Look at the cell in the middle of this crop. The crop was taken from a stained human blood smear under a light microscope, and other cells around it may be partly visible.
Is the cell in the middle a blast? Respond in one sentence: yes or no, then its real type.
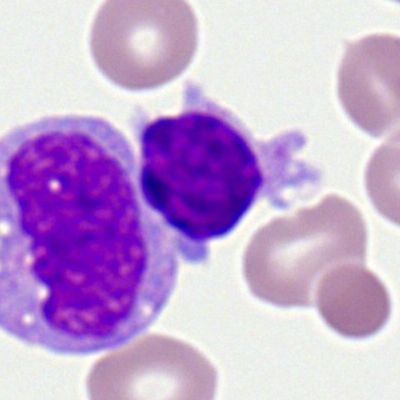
No, the cell at the centre is identified as a lymphocyte, not as a blast.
